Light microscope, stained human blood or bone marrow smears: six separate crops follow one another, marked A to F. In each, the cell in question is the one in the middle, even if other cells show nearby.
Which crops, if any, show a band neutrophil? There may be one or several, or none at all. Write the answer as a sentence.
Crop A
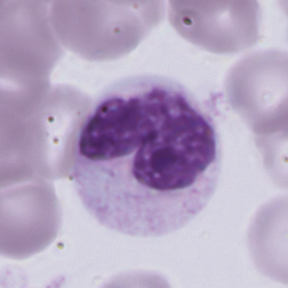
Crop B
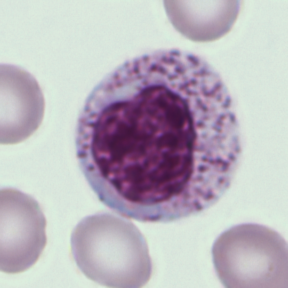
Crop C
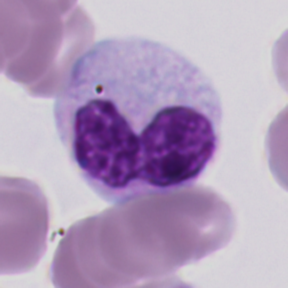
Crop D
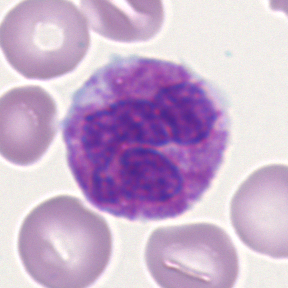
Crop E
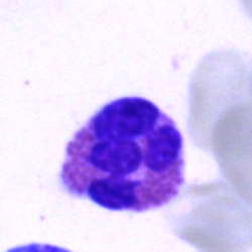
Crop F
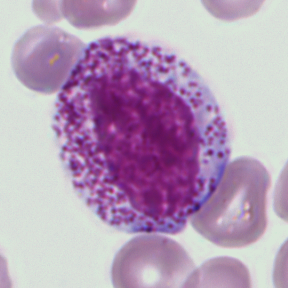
Among the crops, A and C are those that show band neutrophils.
